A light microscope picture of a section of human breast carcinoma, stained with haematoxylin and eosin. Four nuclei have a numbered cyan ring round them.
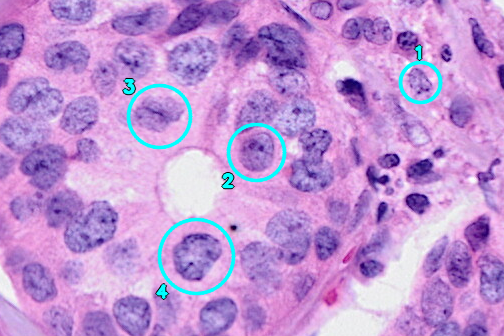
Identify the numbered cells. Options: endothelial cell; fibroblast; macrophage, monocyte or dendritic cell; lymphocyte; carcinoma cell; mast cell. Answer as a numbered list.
1. macrophage, monocyte or dendritic cell
2. carcinoma cell
3. carcinoma cell
4. carcinoma cell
